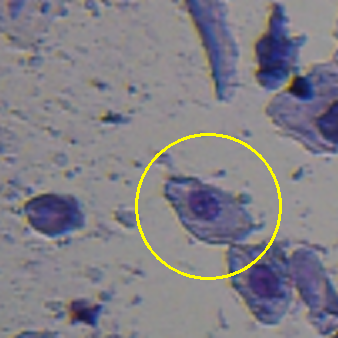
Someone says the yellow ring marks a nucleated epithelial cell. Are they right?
They are right: it is a nucleated epithelial cell.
